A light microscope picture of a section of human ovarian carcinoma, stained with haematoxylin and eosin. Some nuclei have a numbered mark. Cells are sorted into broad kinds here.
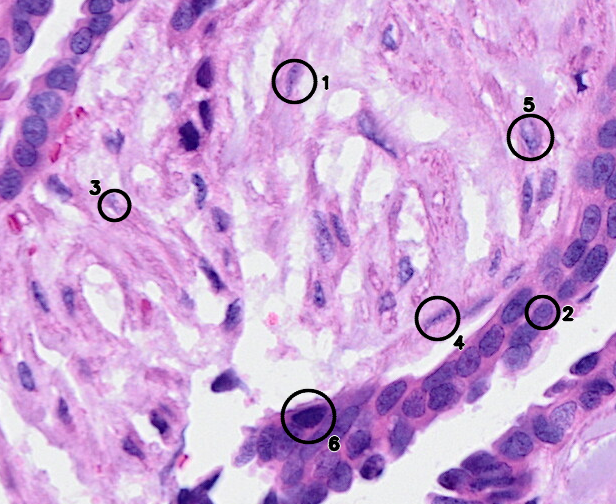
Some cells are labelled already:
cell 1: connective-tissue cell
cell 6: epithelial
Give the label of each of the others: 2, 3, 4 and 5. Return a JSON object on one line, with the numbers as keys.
{"2": "epithelial", "3": "connective-tissue cell", "4": "connective-tissue cell", "5": "connective-tissue cell"}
